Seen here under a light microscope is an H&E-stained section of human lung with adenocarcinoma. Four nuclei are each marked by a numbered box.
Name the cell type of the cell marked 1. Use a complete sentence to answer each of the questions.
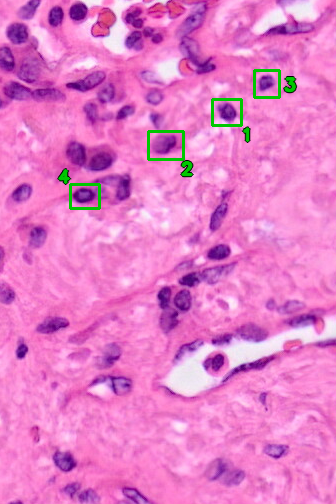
The expected answer is that cell 1 is a lymphocyte.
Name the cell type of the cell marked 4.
Here the cell numbered 4 is a mast cell.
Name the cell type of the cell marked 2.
The identity of cell 2 is that of a plasma cell.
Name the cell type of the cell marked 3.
The cell numbered 3 has been identified as a lymphocyte.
